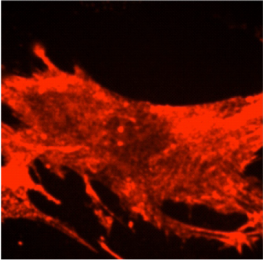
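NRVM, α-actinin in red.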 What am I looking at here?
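A single flattened heart muscle cell in culture, drawn out into a broad body with many thin, pointed processes and ragged projections at its margins. The red fills the cytoplasm mostly as a diffuse, mottled haze; a few faint, short striations can still be glimpsed in the central region, but no long ordered bands of repeating stripes cross the cell. The strongest red lies at the edges and in the spiky extensions. A darker oval area near the centre marks where the nucleus sits. This pattern fits a cell whose banded contractile lattice is coming apart as it enters division.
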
